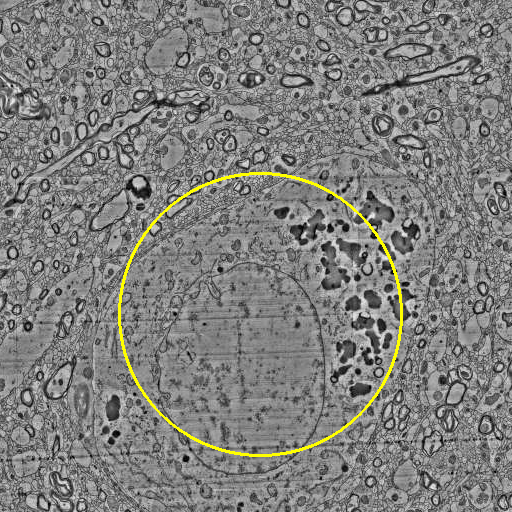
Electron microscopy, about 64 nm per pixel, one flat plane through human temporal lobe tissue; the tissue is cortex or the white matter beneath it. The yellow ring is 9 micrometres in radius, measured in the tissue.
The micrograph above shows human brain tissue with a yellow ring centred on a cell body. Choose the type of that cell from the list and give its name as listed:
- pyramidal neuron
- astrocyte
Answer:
pyramidal neuron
